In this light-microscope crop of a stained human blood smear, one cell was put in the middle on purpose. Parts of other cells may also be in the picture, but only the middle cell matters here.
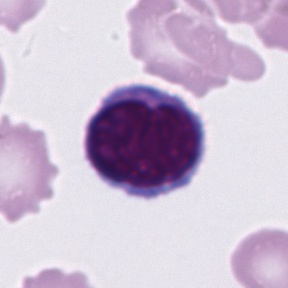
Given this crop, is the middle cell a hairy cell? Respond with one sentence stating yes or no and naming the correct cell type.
No, the central cell here is a typical lymphocyte; calling it a hairy cell is not right.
